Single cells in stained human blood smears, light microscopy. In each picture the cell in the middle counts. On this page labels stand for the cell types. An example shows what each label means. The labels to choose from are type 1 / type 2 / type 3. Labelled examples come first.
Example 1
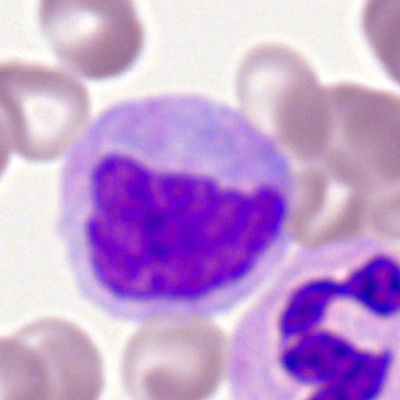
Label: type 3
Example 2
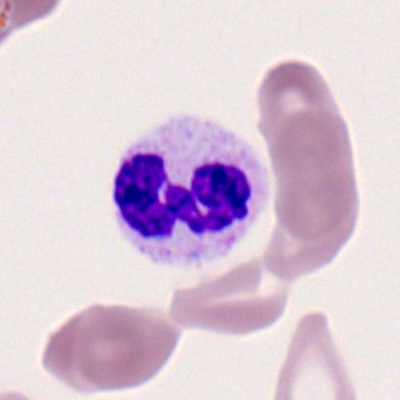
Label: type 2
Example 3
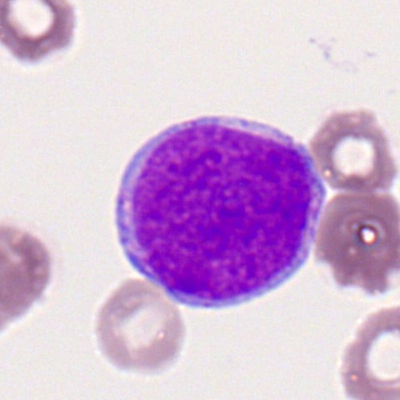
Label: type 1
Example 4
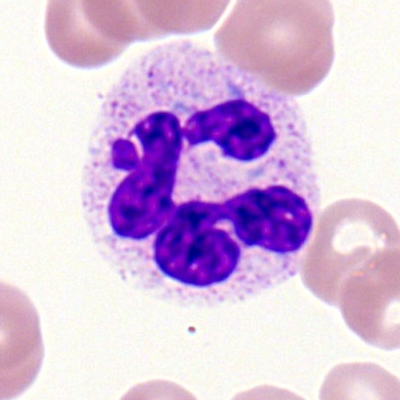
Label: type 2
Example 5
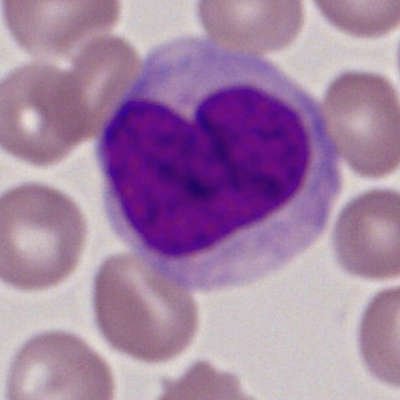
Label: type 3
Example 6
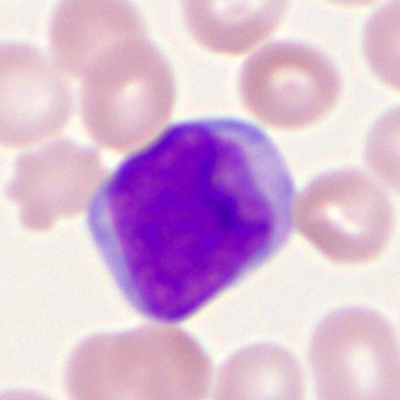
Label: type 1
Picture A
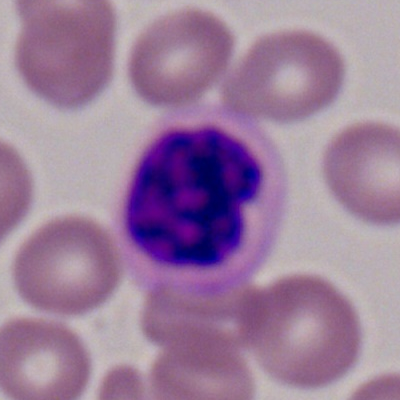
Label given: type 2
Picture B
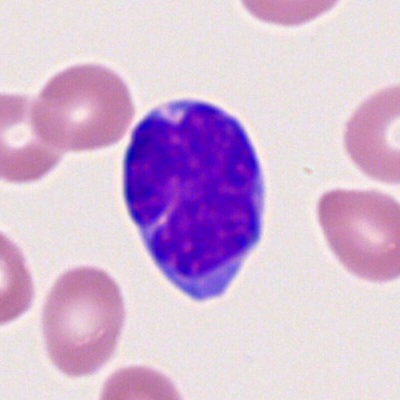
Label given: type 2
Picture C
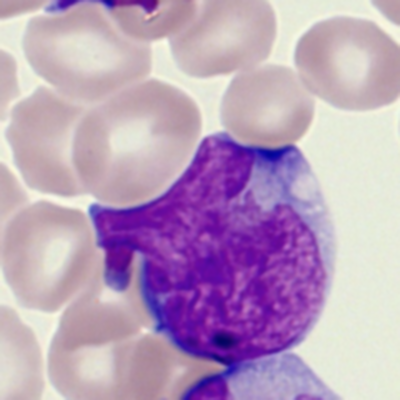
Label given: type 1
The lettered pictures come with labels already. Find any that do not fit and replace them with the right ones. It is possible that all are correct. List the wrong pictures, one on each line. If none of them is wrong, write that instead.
B should be type 3, not type 2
